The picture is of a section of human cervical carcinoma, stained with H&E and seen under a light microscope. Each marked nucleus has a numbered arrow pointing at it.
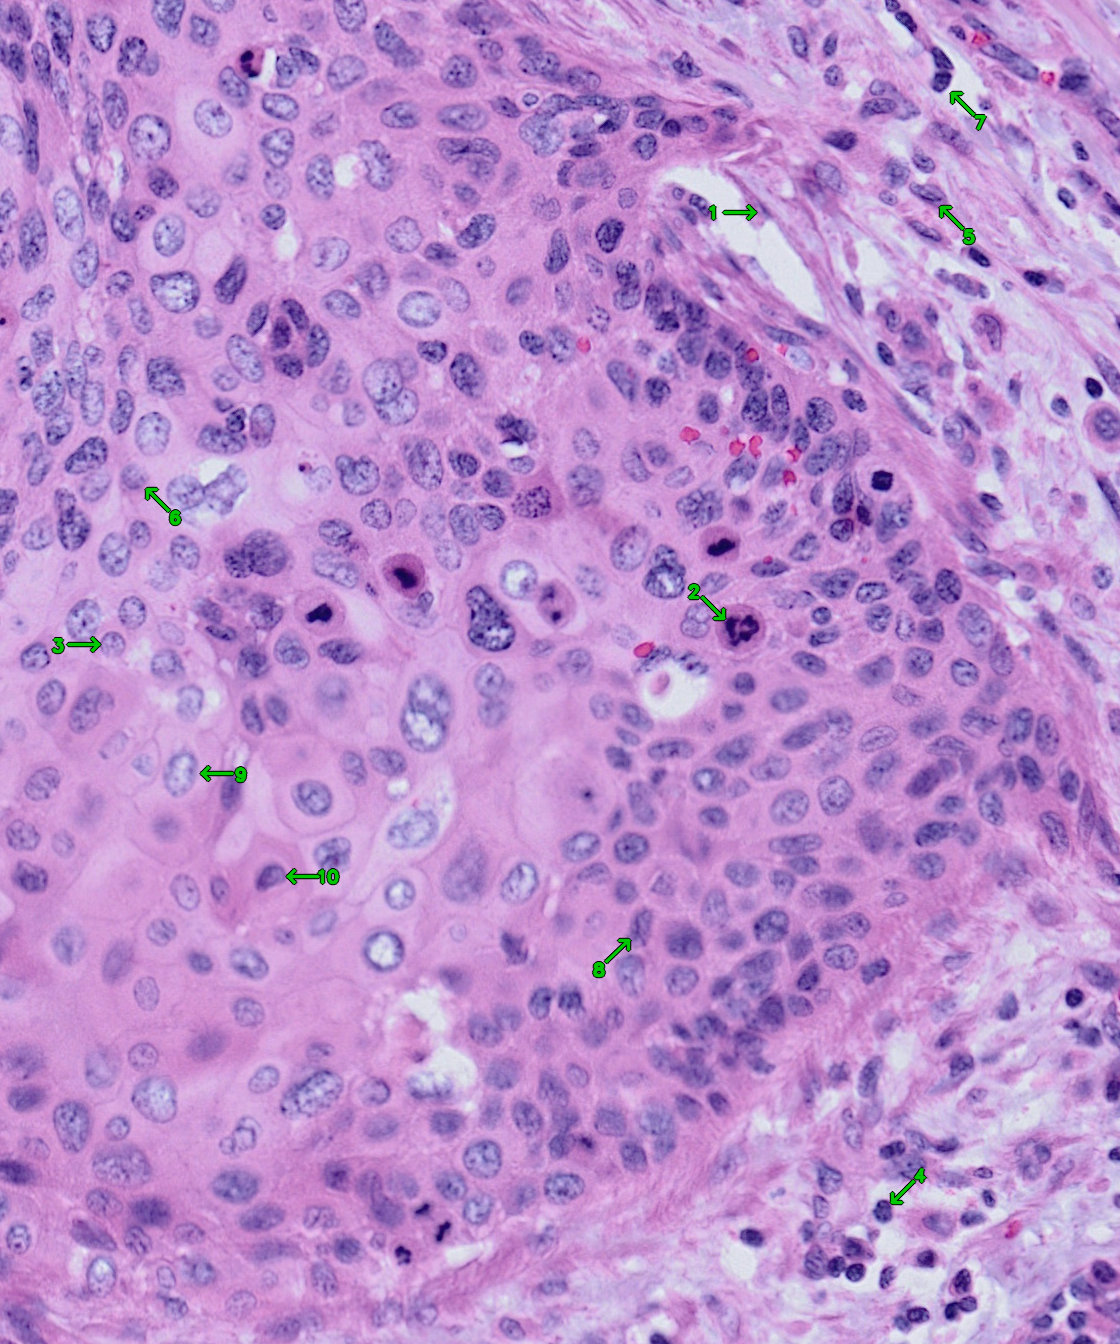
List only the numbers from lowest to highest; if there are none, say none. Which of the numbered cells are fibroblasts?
1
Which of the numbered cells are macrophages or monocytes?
5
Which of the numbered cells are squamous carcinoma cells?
2, 3, 6, 8, 9, 10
